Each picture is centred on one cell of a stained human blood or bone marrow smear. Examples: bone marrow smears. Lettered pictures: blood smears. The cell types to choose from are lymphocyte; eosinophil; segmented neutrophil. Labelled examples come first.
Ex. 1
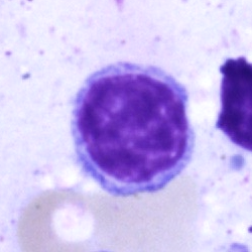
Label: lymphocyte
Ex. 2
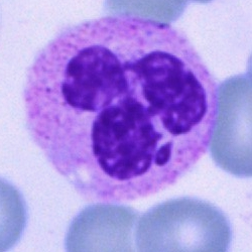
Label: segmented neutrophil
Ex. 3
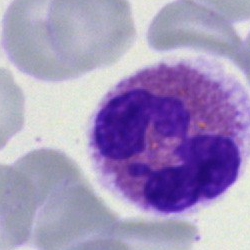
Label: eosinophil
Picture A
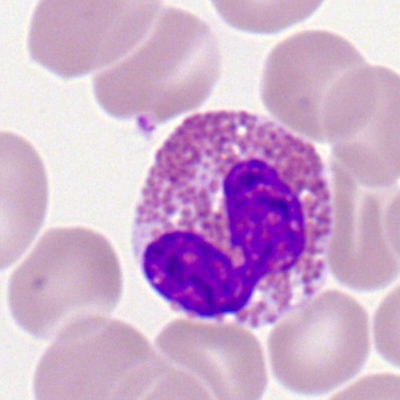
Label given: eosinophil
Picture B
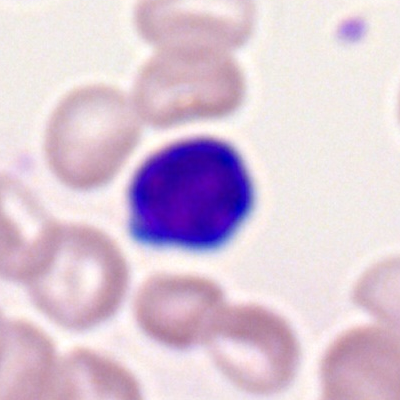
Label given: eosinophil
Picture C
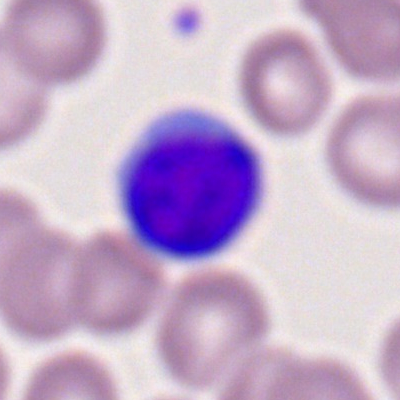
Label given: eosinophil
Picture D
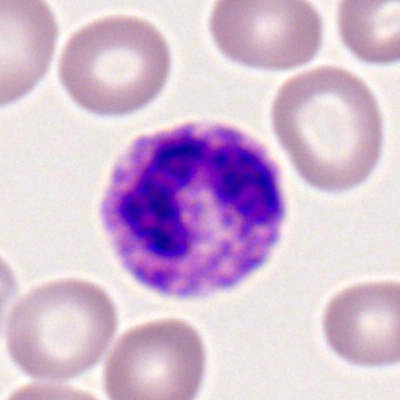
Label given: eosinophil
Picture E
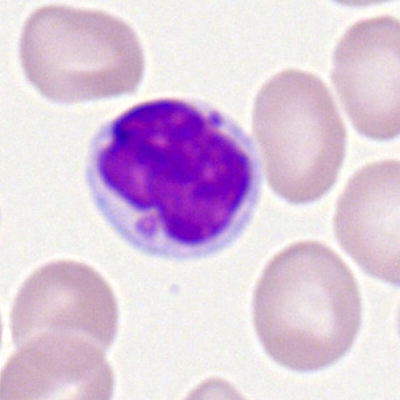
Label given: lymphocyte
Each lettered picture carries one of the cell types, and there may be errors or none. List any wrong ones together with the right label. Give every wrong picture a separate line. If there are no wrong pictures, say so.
B should be lymphocyte, not eosinophil
C should be lymphocyte, not eosinophil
